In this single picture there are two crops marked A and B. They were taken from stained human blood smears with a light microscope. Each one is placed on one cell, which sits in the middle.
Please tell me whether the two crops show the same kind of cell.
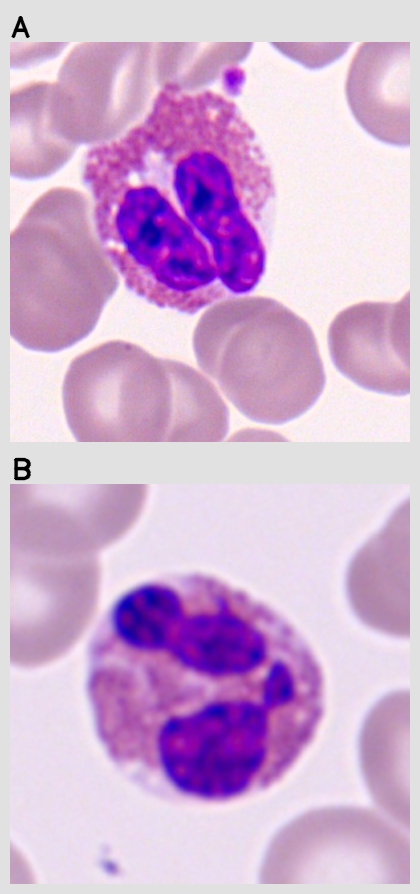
yes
